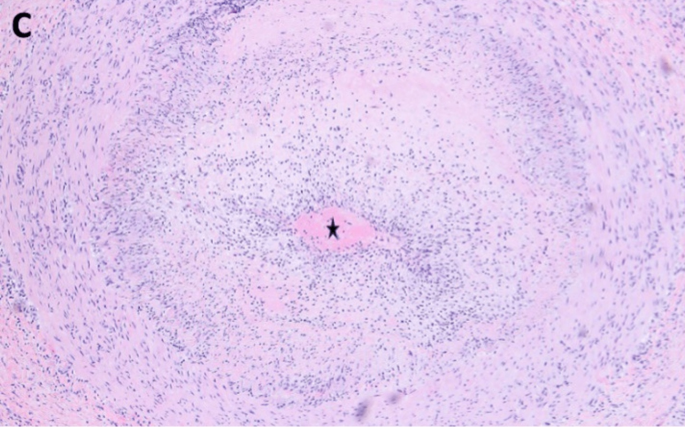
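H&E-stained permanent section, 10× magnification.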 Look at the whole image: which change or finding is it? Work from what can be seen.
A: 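A broad concentric layer of tissue lies between the tiny lumen and the outer wall. The thickened inner layer narrows the lumen to a slit.
Prominent intimal hyperplasia.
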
